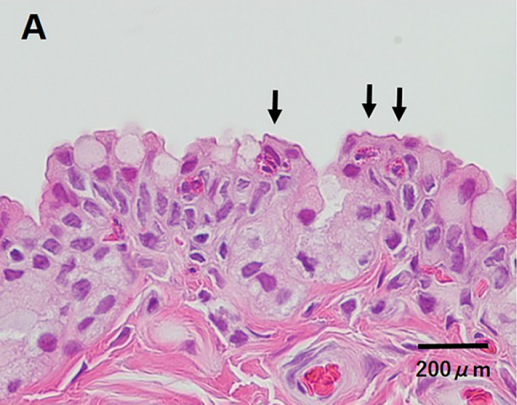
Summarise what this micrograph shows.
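Conjunctival epithelium with inflammatory cells infiltrating its surface layers. A stratified epithelium of several cell layers overlies pink, wavy fibrous connective tissue containing a small vessel with red blood cells. Epithelial nuclei are oval, purple and crowded in the lower layers. Large pale rounded goblet cells with clear, mucus-filled cytoplasm lie in the upper layers, bulging the surface. Near the free surface, small cells with intensely red granular cytoplasm sit between the epithelial cells, in clusters of a few. The surface is irregular and undulating, with some pale, vacuolated areas in the deeper epithelium.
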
